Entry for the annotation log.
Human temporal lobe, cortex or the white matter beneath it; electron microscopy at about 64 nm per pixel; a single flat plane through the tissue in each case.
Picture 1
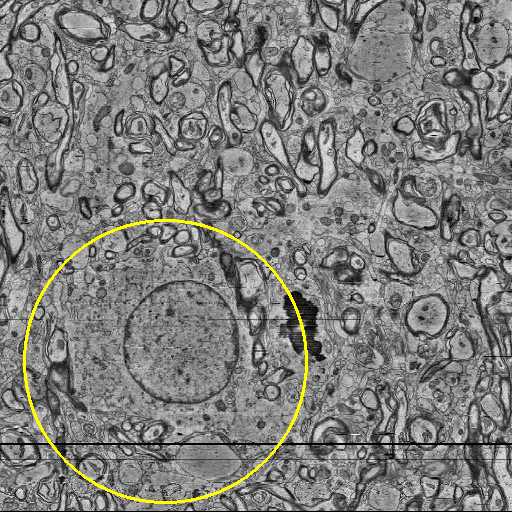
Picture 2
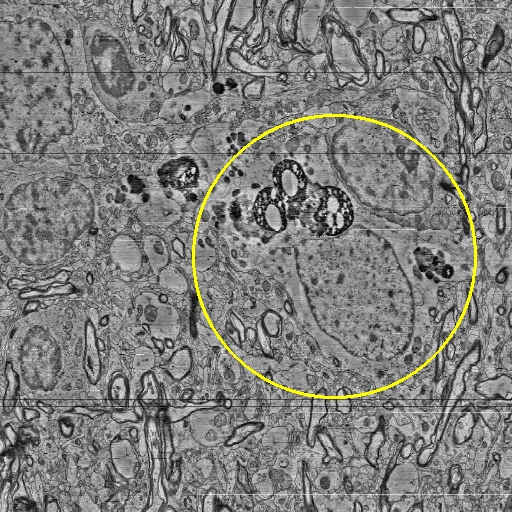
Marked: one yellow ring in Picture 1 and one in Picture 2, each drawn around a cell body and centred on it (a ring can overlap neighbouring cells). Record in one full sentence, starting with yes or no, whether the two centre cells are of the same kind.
Yes, both cells are of the same kind.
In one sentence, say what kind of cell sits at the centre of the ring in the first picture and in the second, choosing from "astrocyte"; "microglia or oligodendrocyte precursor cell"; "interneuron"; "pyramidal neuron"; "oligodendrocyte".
Each of the ringed cells, first and second, is an astrocyte.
